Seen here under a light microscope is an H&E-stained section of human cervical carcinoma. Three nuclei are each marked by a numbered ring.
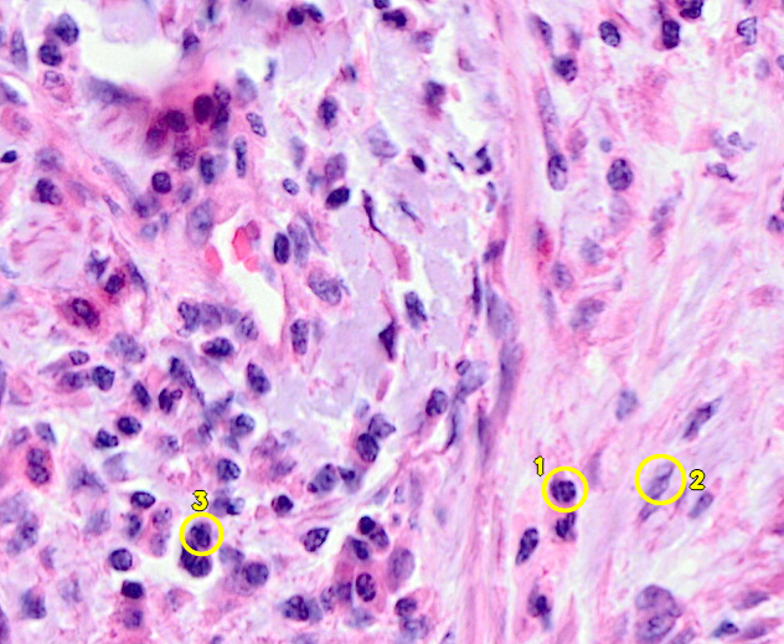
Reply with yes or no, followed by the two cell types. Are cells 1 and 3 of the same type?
Yes, the cell labelled 1 and the cell labelled 3 are both lymphocytes.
